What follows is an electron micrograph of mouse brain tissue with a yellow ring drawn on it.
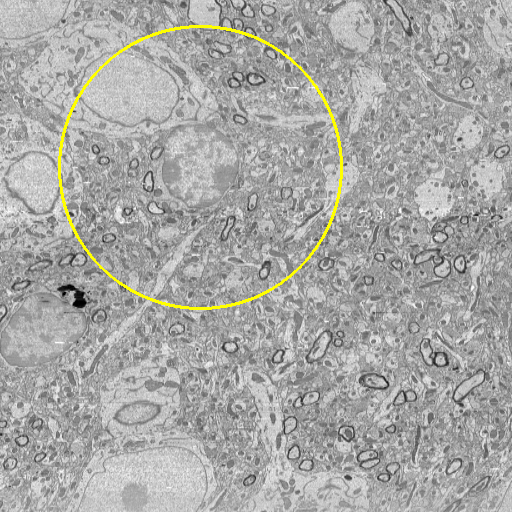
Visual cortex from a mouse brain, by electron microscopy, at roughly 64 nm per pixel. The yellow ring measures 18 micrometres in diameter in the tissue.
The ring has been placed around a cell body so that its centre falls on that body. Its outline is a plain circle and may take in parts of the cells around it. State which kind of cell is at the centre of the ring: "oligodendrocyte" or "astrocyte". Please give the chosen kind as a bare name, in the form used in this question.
oligodendrocyte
